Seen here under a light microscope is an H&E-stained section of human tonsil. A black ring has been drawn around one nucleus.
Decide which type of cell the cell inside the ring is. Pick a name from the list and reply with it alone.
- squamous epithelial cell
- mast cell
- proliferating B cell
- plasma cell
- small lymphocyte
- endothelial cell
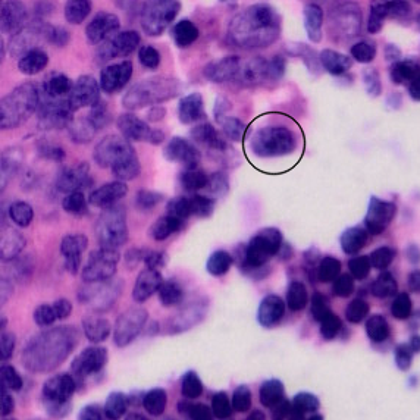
proliferating B cell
